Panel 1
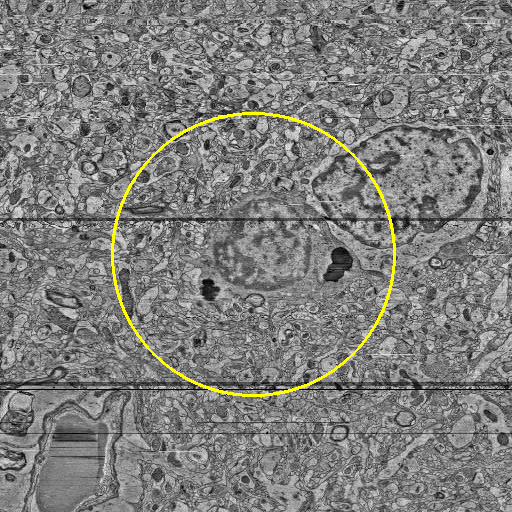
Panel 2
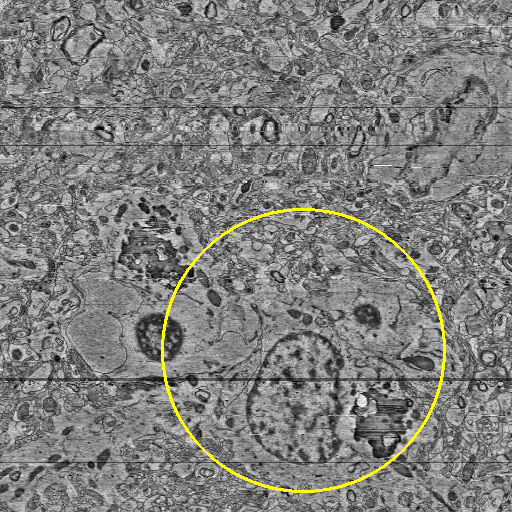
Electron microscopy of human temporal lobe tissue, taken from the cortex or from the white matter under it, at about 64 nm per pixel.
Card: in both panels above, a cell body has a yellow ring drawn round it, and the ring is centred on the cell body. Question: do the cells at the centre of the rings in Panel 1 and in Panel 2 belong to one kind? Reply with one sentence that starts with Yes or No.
No, the cells centred in the rings of Panel 1 and Panel 2 are two kinds of cell.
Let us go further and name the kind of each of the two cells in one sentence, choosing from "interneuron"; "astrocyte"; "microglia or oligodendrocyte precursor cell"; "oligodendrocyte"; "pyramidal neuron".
The ring of the first picture is on an oligodendrocyte, the ring of the second on an astrocyte.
